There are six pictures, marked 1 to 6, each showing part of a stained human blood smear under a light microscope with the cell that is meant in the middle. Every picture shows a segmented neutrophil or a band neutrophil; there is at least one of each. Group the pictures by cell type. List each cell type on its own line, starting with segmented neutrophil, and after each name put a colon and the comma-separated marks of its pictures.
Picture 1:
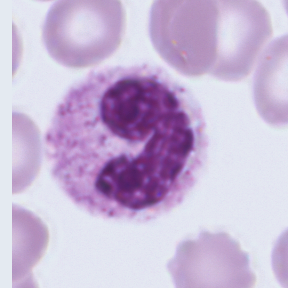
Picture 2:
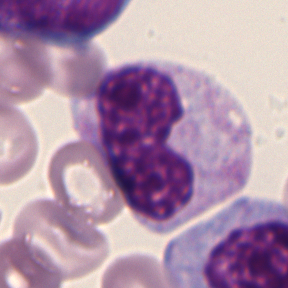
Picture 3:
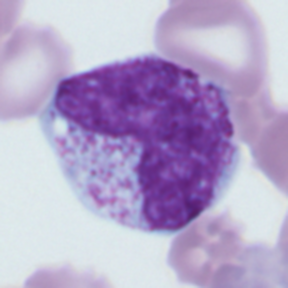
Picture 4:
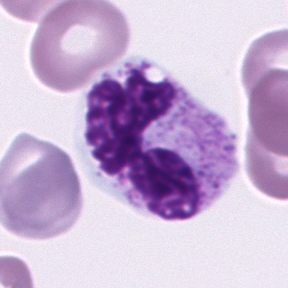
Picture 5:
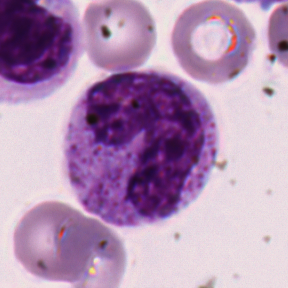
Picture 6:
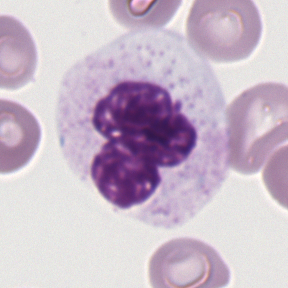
segmented neutrophil: 4, 6
band neutrophil: 1, 2, 3, 5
